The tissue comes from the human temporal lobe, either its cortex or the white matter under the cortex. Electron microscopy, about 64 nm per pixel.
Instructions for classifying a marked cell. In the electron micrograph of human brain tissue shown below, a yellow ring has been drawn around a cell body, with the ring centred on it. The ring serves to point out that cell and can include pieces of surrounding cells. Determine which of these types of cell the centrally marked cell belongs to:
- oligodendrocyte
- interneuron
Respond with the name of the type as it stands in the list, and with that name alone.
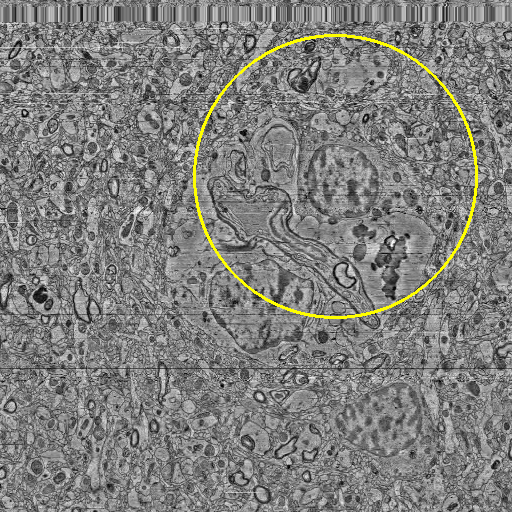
oligodendrocyte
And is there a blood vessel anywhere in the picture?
Yes, one shows.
